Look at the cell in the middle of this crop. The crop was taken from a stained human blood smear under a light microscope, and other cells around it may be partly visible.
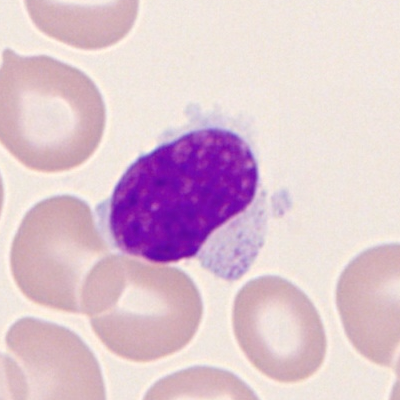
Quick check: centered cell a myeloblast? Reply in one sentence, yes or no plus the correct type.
No, in this crop the middle cell is a lymphocyte, not a myeloblast.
